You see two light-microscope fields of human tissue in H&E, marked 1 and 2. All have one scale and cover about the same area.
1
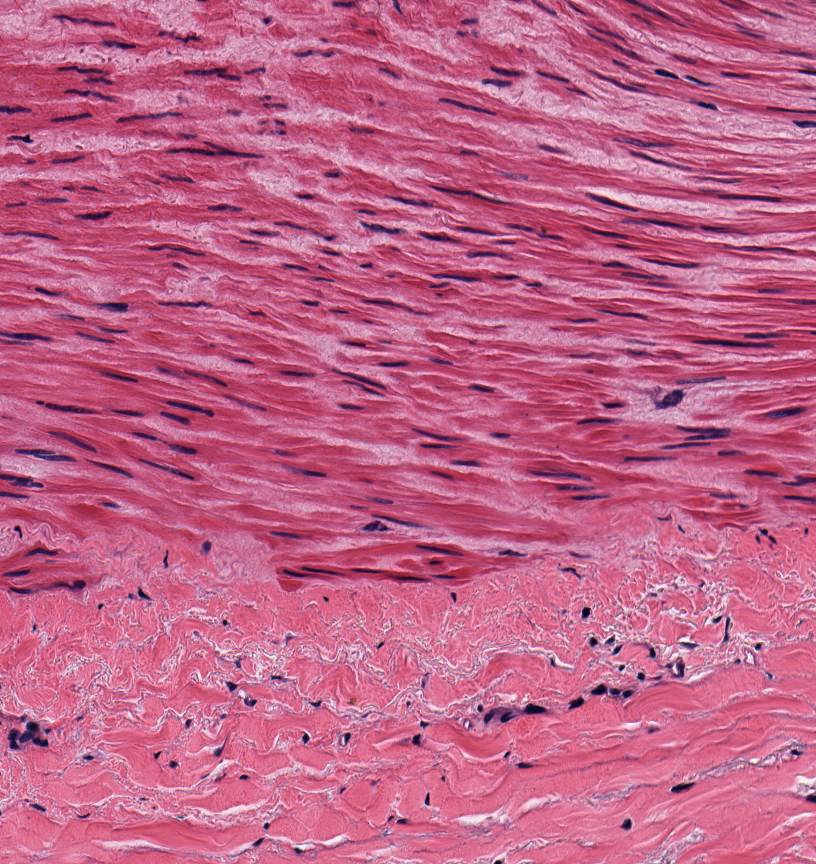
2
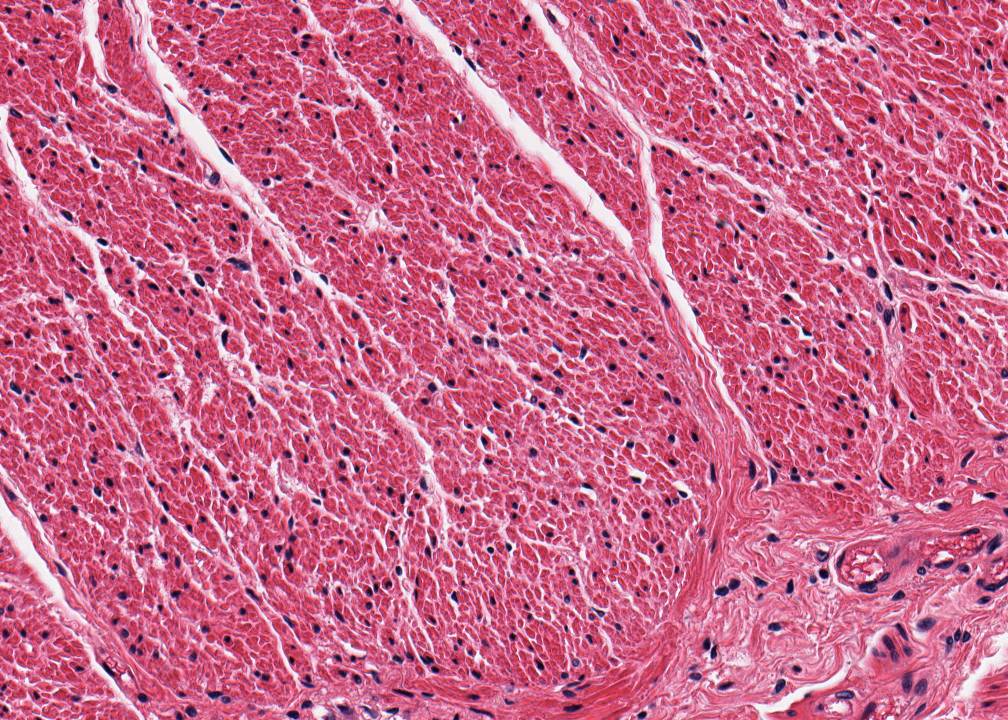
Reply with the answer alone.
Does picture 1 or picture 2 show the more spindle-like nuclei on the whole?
1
